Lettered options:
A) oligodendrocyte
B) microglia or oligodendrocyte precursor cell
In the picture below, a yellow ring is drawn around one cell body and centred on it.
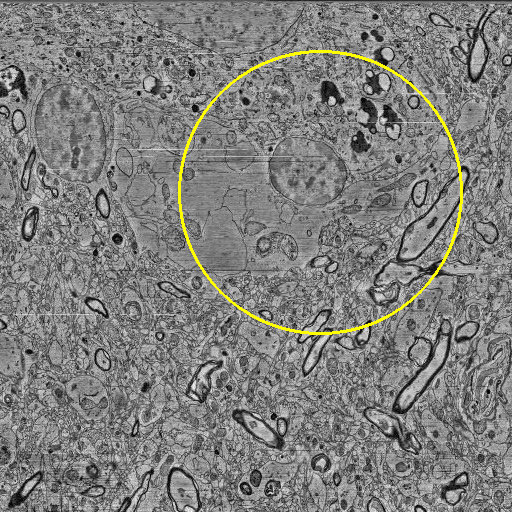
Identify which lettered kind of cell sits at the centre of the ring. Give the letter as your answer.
B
